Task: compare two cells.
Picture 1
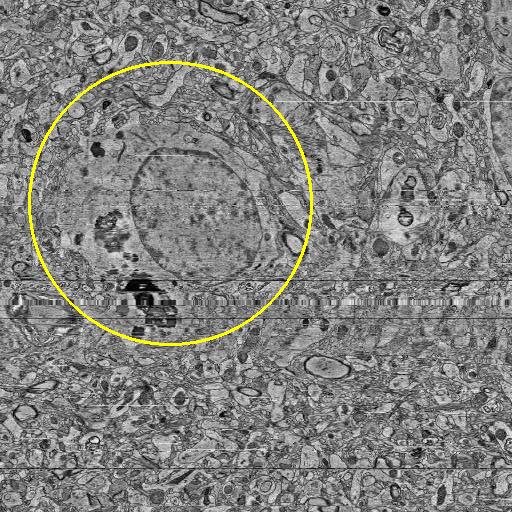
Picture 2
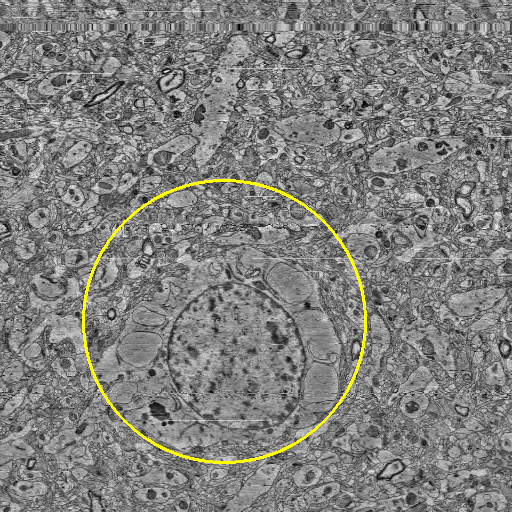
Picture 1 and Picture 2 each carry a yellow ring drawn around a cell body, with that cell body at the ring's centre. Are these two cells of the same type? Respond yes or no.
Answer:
yes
